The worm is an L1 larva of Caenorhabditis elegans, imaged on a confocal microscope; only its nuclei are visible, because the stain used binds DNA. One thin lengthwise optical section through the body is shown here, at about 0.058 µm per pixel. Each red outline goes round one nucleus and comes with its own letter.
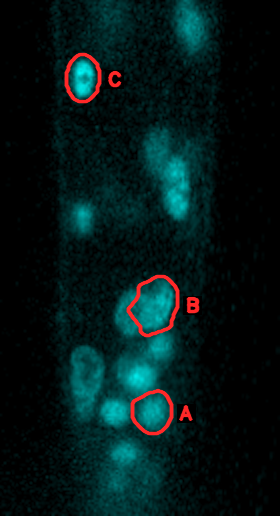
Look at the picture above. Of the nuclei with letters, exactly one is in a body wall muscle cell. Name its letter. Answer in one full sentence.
The nucleus of a body wall muscle cell is C.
